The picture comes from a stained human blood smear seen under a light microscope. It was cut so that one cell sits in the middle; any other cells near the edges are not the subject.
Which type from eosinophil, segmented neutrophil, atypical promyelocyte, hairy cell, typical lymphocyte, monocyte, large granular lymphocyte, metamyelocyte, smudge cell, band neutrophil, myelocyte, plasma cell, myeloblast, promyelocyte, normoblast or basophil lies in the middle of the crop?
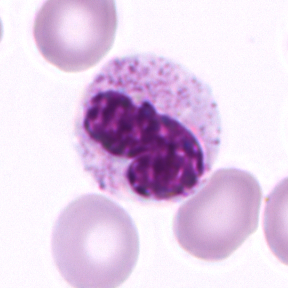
band neutrophil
